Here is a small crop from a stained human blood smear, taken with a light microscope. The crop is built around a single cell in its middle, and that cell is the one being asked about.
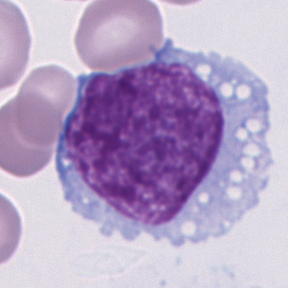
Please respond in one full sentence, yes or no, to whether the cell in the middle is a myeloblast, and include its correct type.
Yes, the cell that lies centrally is a myeloblast.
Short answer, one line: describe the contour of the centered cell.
The cell shows an uneven border, formed by ragged areas or by outward projections.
